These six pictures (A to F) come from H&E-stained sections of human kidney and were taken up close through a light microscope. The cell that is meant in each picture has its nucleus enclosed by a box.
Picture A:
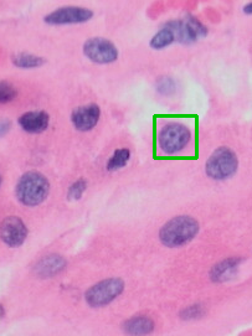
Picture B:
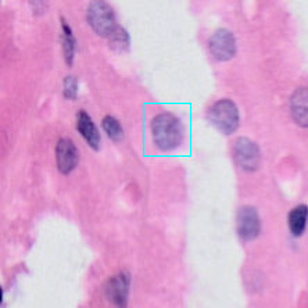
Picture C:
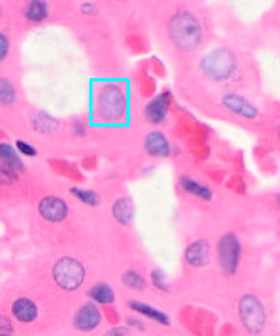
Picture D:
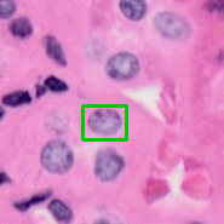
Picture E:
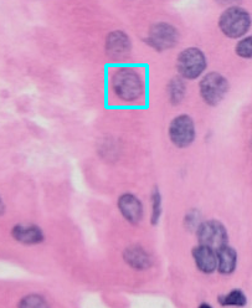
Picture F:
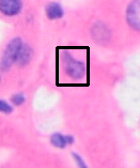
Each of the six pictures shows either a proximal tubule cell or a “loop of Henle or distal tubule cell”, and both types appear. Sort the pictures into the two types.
A: loop of Henle or distal tubule cell
B: loop of Henle or distal tubule cell
C: loop of Henle or distal tubule cell
D: loop of Henle or distal tubule cell
E: proximal tubule cell
F: proximal tubule cell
